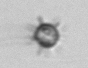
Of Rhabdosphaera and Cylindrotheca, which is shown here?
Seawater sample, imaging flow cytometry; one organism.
Rhabdosphaera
